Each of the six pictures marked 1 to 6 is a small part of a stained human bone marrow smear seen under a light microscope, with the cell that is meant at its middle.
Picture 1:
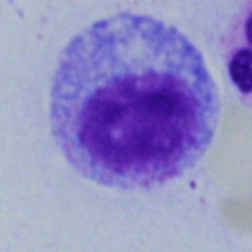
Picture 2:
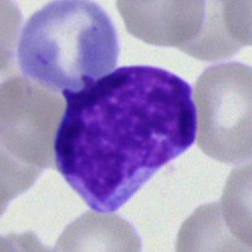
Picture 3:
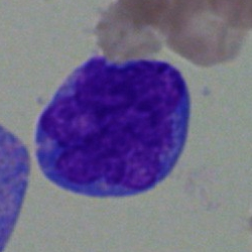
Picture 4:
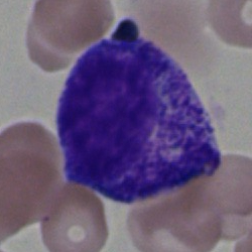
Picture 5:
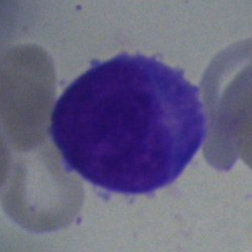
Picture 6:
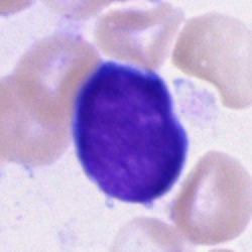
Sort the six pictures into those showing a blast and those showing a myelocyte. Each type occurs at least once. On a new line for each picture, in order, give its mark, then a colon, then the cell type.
1: myelocyte
2: blast
3: blast
4: myelocyte
5: blast
6: blast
